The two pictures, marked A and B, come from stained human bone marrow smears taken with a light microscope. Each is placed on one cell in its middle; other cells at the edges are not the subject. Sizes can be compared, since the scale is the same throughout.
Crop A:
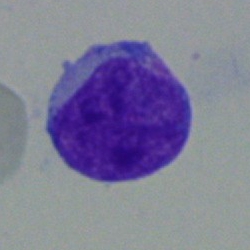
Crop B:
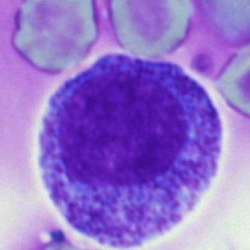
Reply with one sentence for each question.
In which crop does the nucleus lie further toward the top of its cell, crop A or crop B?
The nucleus in crop B lies further toward the top of its cell.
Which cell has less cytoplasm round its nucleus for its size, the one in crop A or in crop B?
Of the two, the nucleus in crop A makes up the greater part of its cell.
